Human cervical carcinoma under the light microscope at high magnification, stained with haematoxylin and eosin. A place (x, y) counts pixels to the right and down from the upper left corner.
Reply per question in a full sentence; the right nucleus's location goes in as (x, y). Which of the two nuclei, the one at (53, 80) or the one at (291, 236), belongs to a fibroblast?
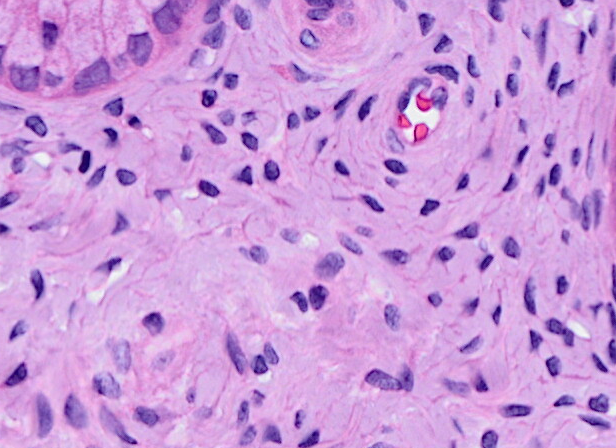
The one nucleus of the two that belongs to a fibroblast is at (291, 236).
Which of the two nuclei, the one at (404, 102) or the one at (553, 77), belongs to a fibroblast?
Between the pair, the nucleus at (553, 77) belongs to a fibroblast.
